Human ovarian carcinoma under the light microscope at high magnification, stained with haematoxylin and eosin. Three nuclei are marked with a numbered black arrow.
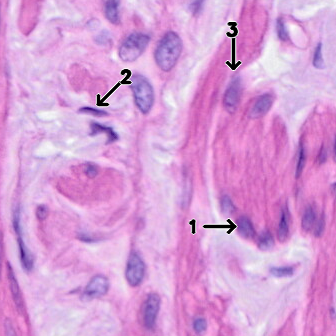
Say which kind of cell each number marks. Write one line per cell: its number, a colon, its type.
1: smooth muscle cell
2: fibroblast
3: smooth muscle cell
